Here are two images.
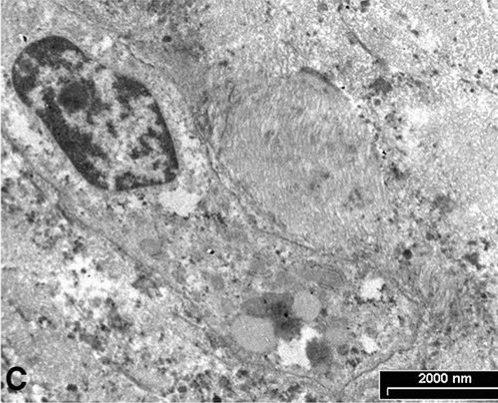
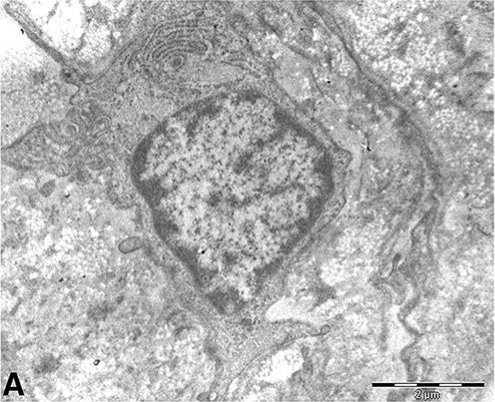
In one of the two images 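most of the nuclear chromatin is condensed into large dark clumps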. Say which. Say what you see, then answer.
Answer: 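The first image. First image: the nucleus is dark, with large dense chromatin clumps filling much of it. Second image: the nucleus is pale with finely dispersed chromatin and only a thin dark rim.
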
